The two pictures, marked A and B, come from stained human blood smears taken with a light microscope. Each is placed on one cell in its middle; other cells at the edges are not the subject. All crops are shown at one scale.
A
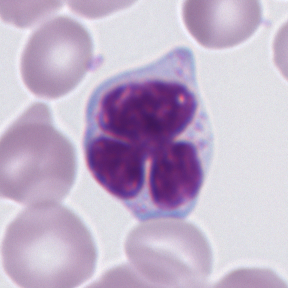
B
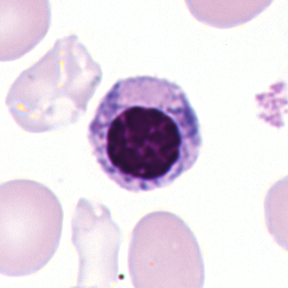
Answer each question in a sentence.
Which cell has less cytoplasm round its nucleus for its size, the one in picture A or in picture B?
Of the two, the nucleus in picture A makes up the greater part of its cell.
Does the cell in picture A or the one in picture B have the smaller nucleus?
It is the nucleus in picture B; the one in picture A has about 2.5 times its area.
